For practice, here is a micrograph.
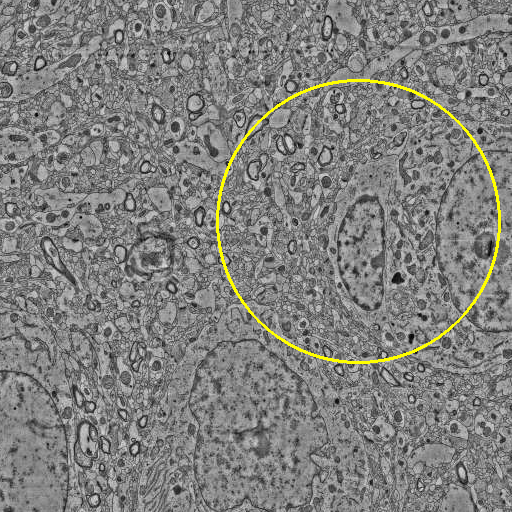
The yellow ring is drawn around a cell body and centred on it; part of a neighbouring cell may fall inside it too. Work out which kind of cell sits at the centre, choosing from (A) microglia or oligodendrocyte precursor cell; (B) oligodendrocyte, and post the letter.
A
